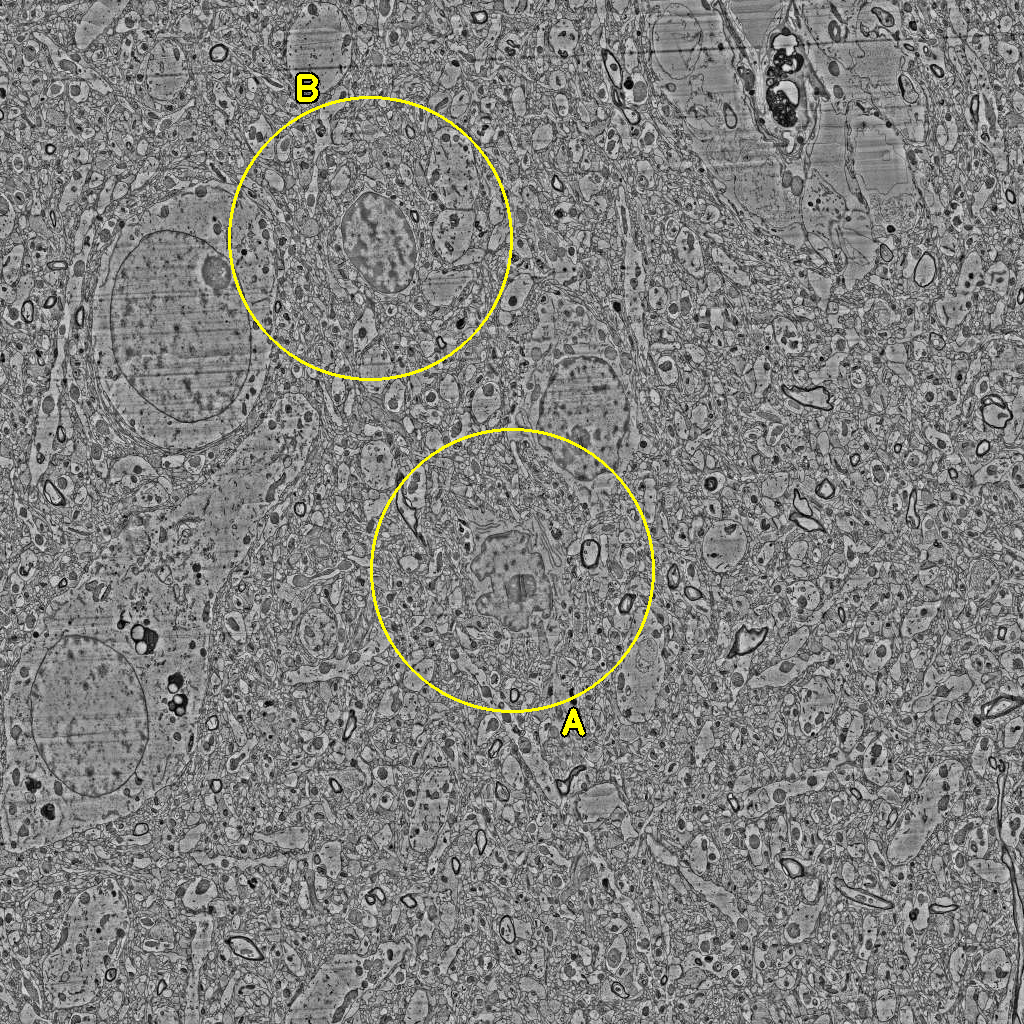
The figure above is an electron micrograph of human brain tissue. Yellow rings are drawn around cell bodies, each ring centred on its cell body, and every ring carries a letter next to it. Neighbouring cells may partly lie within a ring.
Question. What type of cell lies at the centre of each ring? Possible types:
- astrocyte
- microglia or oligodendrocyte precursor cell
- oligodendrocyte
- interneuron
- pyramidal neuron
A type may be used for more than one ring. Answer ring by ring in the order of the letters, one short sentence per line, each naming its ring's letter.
In ring A, the central cell is an astrocyte.
In ring B, the central cell is a microglial cell or oligodendrocyte precursor cell.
